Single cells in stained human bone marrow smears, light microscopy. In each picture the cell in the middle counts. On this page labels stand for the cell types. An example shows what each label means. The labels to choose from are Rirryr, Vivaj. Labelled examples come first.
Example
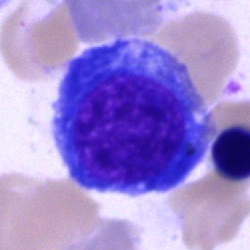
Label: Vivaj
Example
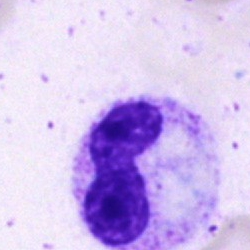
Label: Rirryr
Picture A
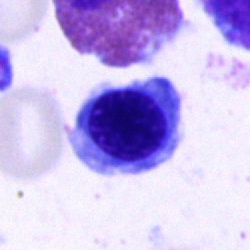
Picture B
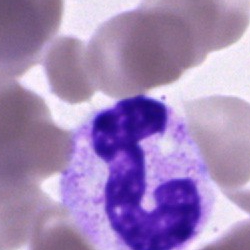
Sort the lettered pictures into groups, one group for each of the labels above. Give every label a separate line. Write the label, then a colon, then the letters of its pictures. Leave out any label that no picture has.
Rirryr: B
Vivaj: A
